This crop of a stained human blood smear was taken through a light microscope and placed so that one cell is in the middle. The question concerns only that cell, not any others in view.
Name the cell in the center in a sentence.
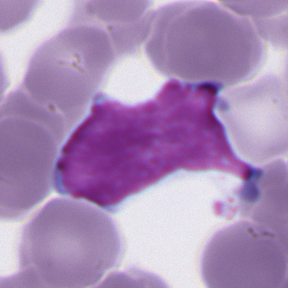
The cell in the middle of the field of view is a typical lymphocyte.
